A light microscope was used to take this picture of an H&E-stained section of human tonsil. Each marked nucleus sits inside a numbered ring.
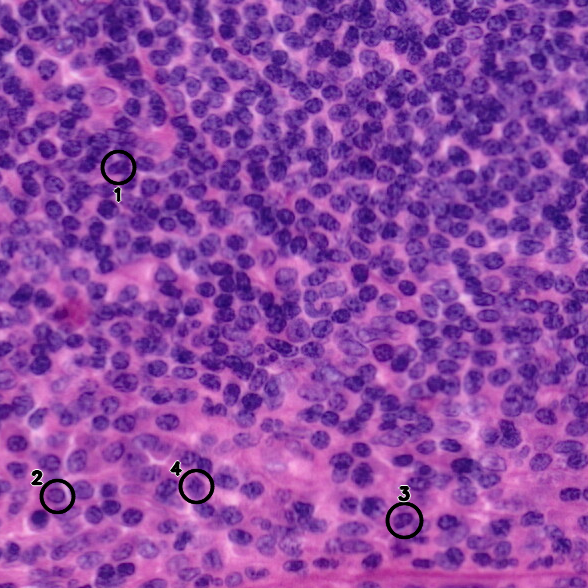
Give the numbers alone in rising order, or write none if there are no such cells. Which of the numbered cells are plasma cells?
2, 3, 4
